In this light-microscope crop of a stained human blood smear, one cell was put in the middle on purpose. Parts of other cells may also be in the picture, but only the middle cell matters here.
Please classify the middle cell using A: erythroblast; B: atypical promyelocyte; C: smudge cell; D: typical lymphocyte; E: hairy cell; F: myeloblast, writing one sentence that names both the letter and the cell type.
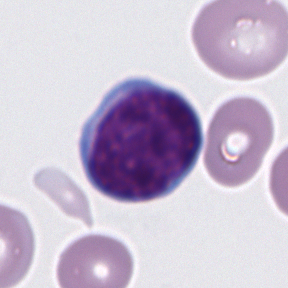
Option D is correct; the cell in the middle is a typical lymphocyte.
